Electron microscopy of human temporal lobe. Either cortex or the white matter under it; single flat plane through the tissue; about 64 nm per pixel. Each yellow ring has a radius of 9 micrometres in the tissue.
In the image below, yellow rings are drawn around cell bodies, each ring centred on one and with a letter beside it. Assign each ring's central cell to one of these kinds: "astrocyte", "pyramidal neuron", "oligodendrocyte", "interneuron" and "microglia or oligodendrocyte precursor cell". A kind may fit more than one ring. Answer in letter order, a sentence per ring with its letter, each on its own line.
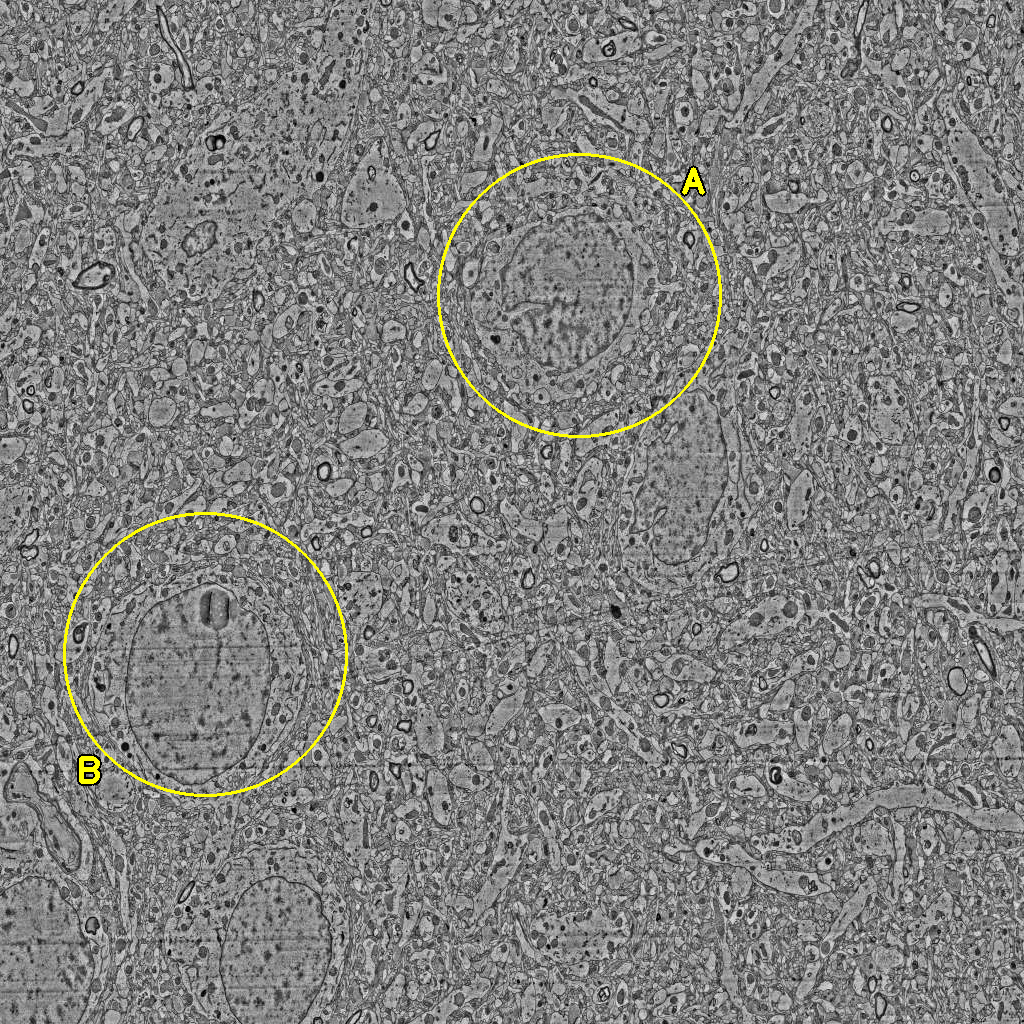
The central cell of ring A is an interneuron.
The central cell of ring B is a pyramidal neuron.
